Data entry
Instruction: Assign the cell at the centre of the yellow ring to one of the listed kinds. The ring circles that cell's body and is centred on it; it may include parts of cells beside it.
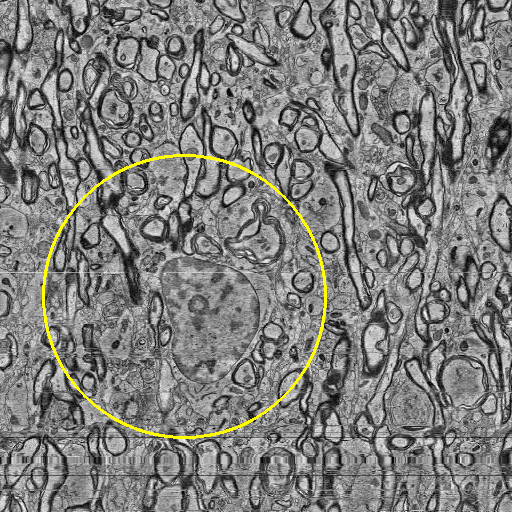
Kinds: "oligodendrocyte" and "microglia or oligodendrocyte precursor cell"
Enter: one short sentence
The centre of the ring falls on a microglial cell or oligodendrocyte precursor cell.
